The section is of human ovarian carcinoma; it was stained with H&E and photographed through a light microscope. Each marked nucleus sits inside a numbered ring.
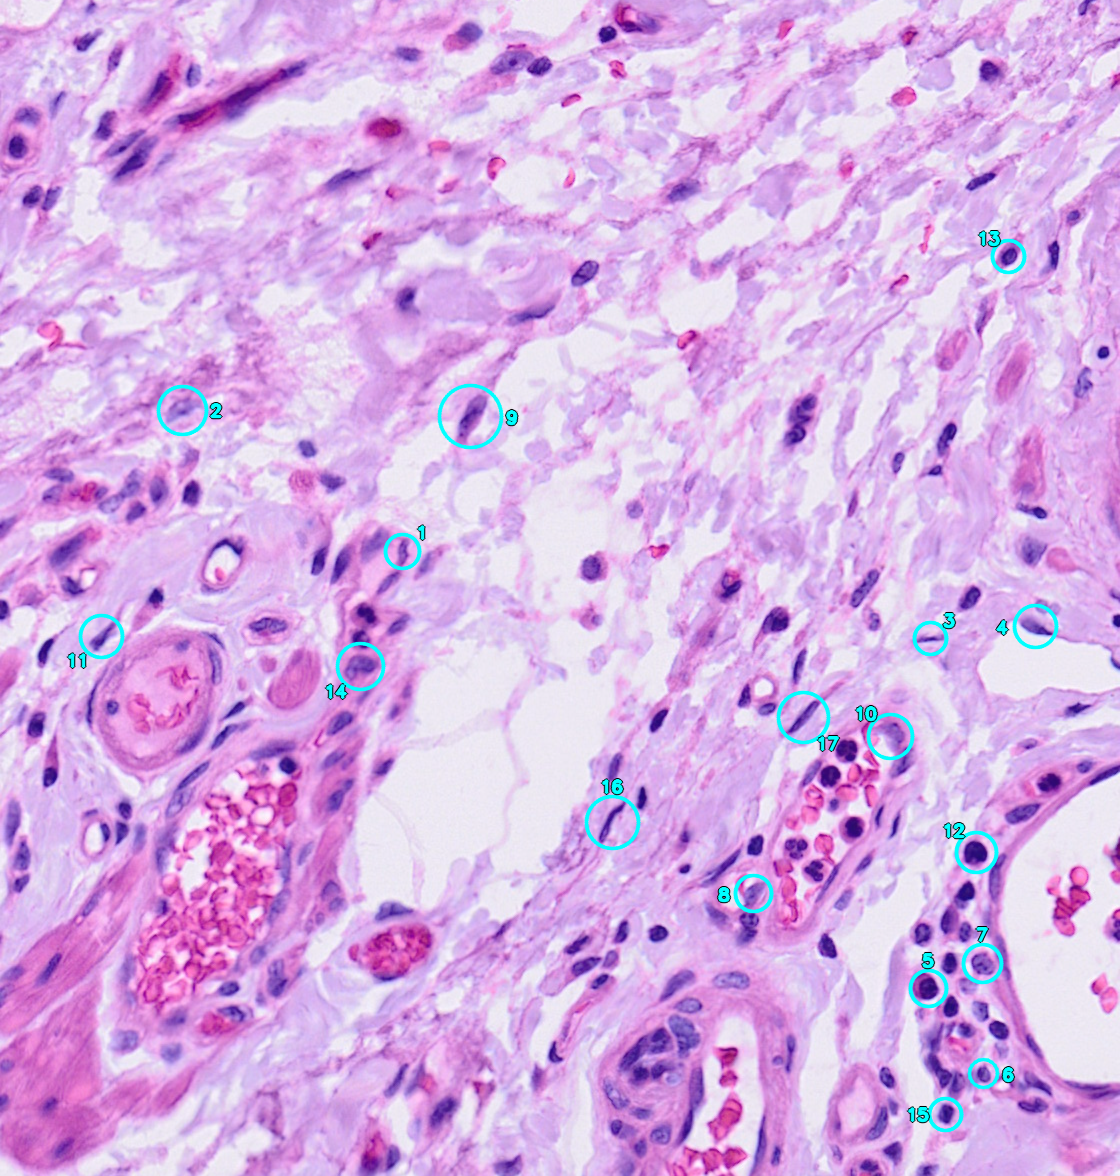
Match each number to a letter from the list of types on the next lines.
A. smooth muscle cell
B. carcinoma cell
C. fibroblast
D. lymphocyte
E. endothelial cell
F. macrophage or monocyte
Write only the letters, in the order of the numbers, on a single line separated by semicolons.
E; C; C; E; D; D; D; E; C; E; C; D; F; E; D; C; C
